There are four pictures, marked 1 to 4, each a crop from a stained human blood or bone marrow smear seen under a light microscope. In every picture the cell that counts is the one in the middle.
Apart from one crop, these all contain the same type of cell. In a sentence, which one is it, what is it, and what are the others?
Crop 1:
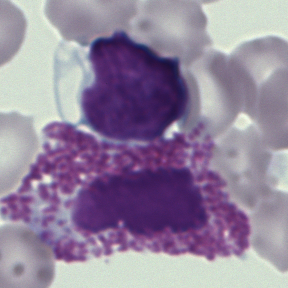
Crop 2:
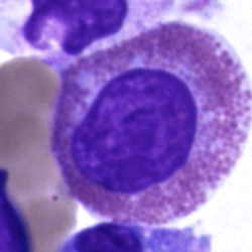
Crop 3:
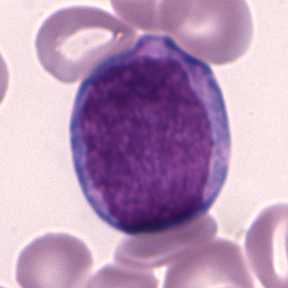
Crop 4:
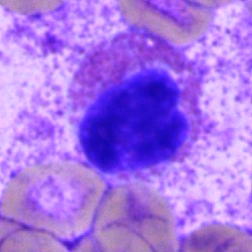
The cells centred in the other crops are all eosinophils, but crop 3 is a promyelocyte.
